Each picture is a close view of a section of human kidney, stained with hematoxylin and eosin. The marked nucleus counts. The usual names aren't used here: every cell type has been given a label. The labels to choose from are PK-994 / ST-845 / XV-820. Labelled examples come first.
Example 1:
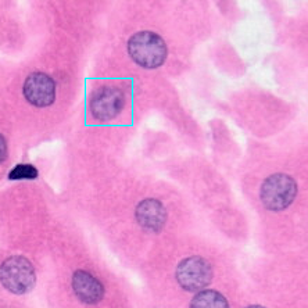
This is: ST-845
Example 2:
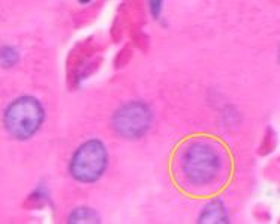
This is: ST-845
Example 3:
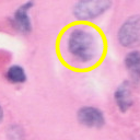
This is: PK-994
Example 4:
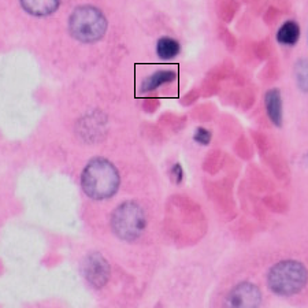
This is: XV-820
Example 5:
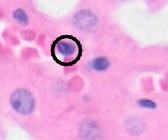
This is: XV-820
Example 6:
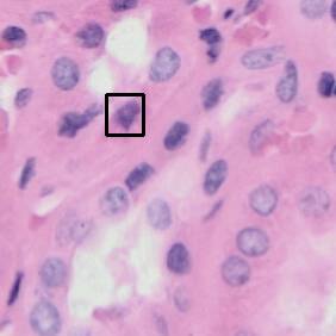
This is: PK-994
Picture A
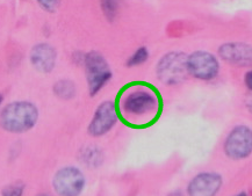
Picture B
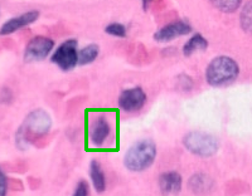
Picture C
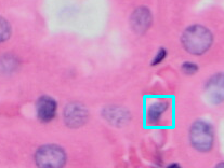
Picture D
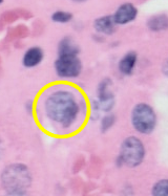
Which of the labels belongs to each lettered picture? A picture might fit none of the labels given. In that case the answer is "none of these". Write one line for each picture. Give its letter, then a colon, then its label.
A: none of these
B: PK-994
C: XV-820
D: PK-994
